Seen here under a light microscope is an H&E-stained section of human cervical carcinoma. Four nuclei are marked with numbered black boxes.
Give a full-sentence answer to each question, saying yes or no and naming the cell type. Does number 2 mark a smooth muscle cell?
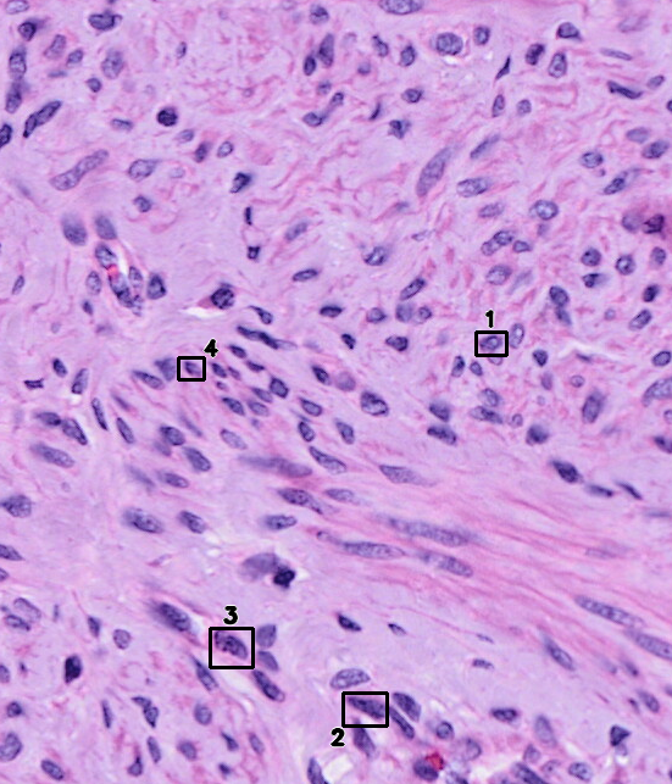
No, the cell referred to as 2 is an endothelial cell, not a smooth muscle cell.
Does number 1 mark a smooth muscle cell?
Yes, cell number 1 is classified as a smooth muscle cell.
